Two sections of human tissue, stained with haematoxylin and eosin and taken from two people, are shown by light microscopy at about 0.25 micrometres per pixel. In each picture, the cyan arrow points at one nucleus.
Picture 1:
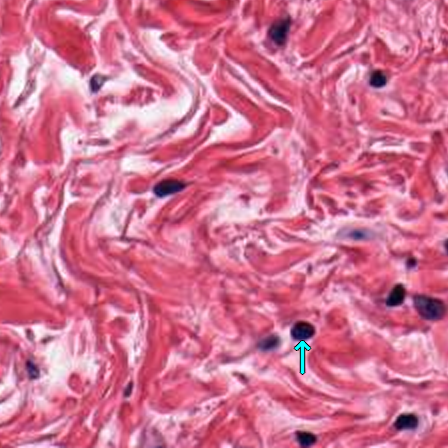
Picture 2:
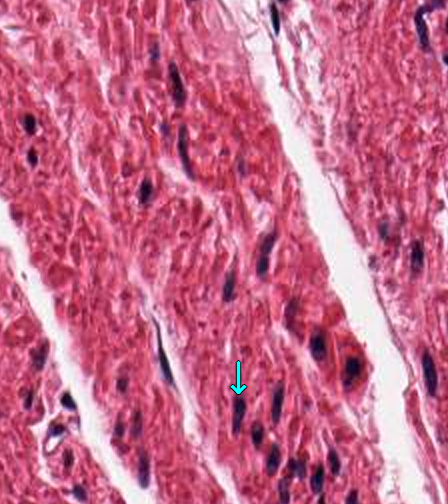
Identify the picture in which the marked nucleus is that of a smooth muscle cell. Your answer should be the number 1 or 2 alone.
2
